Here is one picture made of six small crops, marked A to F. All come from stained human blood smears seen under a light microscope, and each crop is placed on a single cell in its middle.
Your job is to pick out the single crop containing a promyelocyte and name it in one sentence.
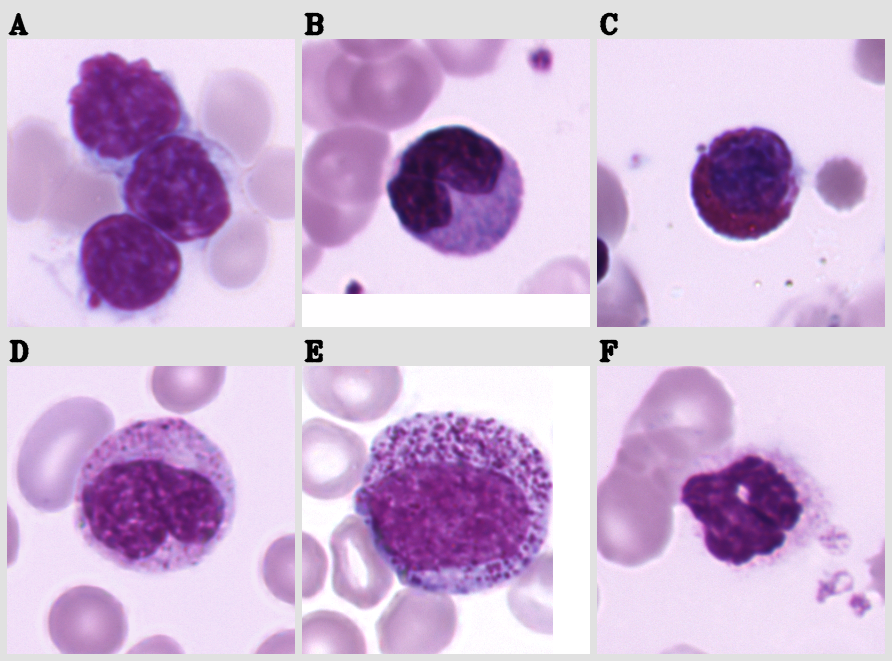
Of the labeled crops, the one with a promyelocyte is crop E.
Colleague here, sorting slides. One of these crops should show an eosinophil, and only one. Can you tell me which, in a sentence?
Crop C is the one to choose: it shows an eosinophil.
